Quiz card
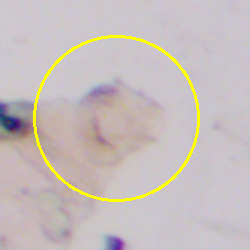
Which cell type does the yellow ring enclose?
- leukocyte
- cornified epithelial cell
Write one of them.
cornified epithelial cell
